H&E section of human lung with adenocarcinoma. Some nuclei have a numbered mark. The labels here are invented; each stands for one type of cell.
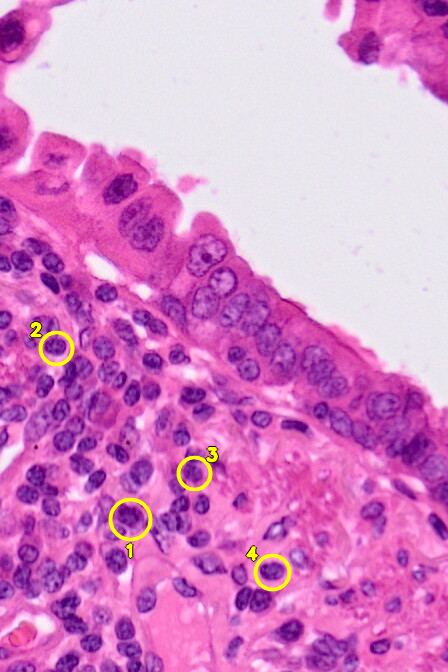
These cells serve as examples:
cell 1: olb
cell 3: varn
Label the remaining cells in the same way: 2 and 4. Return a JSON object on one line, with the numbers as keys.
{"2": "varn", "4": "varn"}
